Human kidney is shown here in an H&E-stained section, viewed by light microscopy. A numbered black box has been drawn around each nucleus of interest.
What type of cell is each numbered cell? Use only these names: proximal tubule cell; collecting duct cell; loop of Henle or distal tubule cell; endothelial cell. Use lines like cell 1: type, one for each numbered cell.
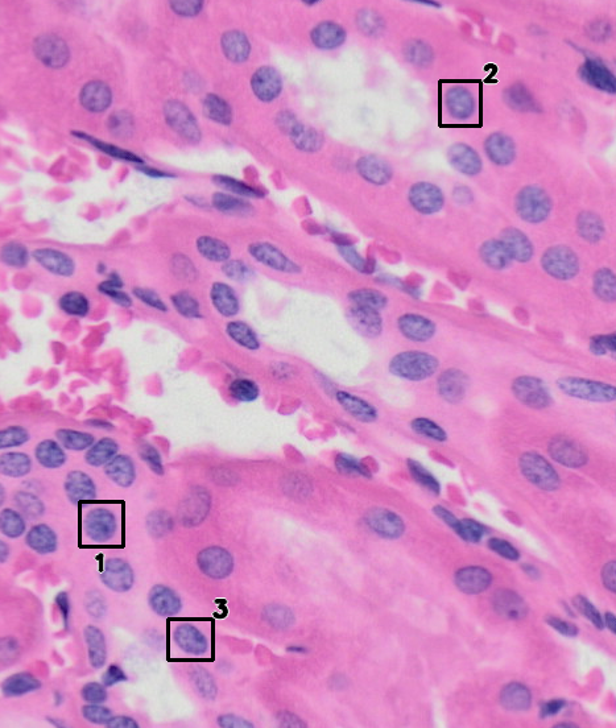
cell 1: collecting duct cell
cell 2: loop of Henle or distal tubule cell
cell 3: collecting duct cell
